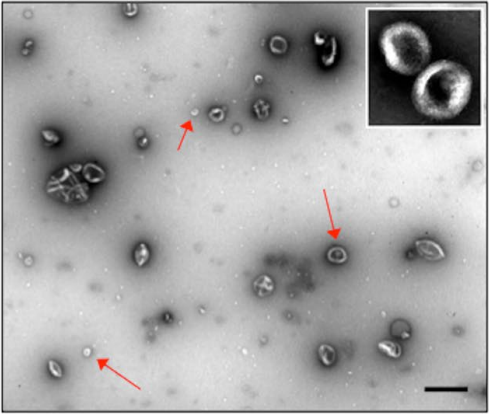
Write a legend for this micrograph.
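Isolated small membrane-bound vesicles lie scattered singly and in small clumps on a grey background, with no whole cells present. The inset shows two round vesicles side by side, each with a bright rim around a dark central depression.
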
